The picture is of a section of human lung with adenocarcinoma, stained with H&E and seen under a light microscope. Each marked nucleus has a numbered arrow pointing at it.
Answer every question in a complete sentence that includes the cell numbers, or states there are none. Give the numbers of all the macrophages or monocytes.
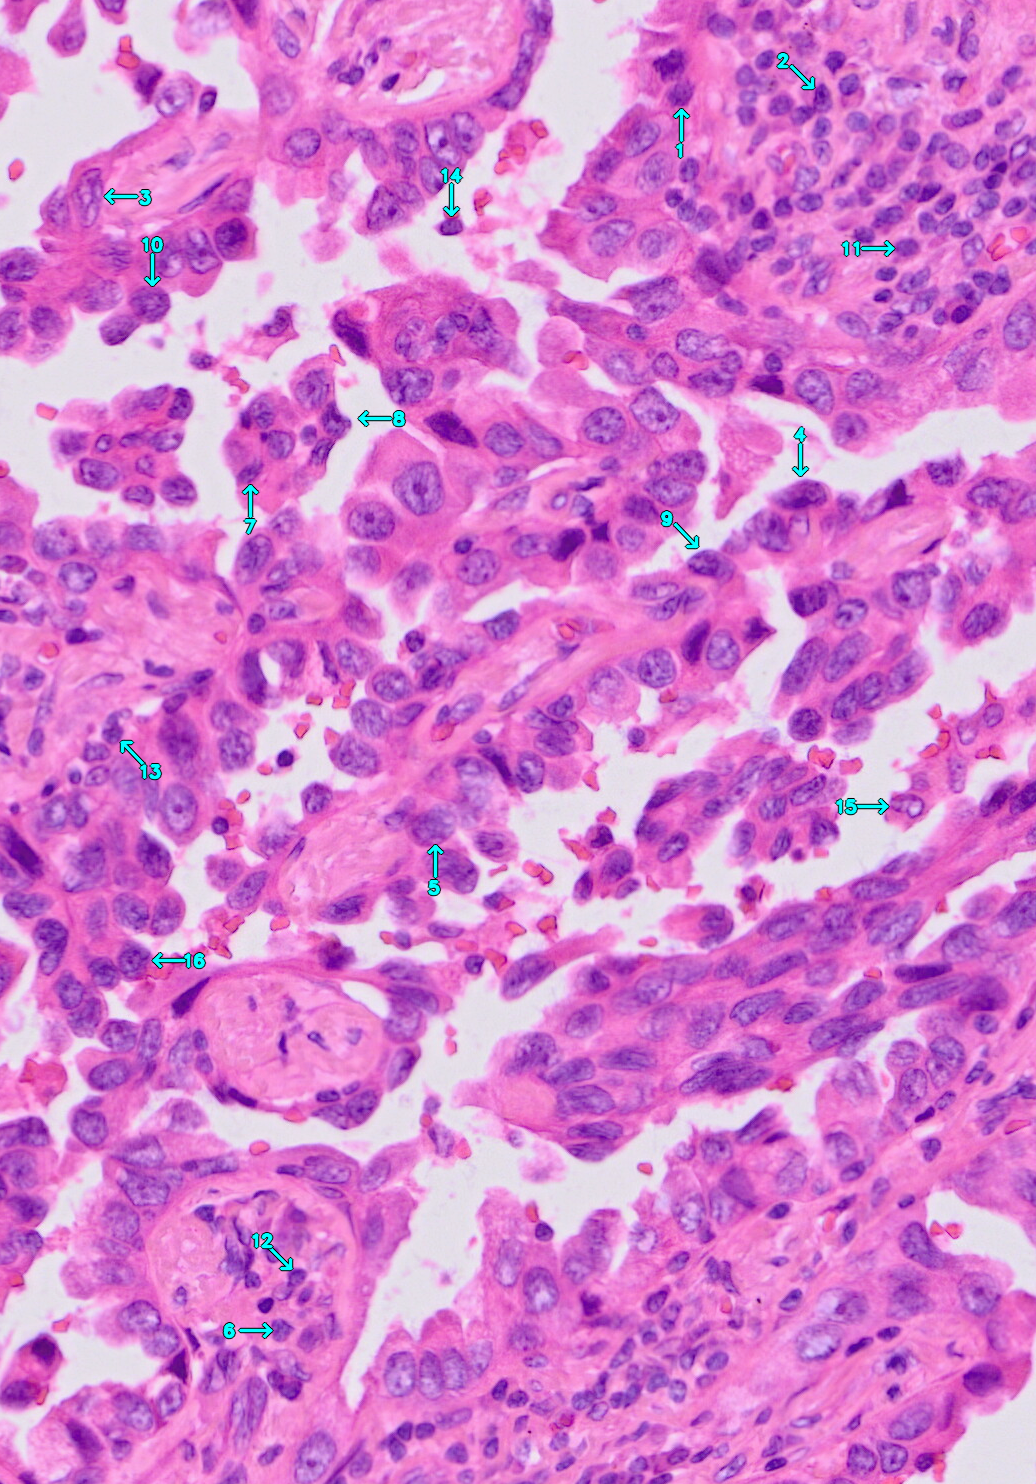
Only the cell marked 15 is a macrophage or monocyte.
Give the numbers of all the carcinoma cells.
The cells tagged with numbers 1, 3, 4, 5, 7, 8, 9, 10 and 16 are carcinoma cells.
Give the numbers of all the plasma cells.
The numbers 2 and 11 mark cells that are plasma cells.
